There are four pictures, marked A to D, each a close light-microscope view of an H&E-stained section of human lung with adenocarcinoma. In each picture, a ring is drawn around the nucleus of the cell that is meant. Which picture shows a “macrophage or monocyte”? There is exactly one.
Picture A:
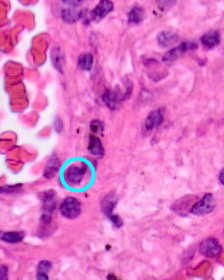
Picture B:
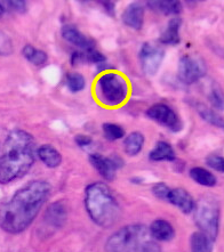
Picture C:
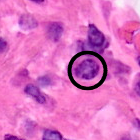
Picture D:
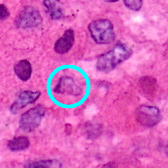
D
